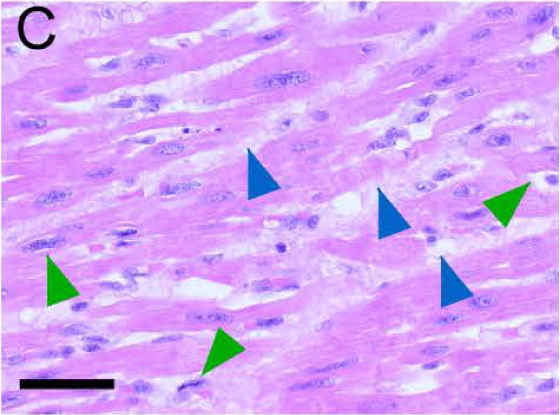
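Heart muscle in longitudinal section with elongated pink cardiomyocytes running roughly in parallel, though irregularly. Several nuclei are dark and densely stained, and pale, loose spaces separate some fibres.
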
